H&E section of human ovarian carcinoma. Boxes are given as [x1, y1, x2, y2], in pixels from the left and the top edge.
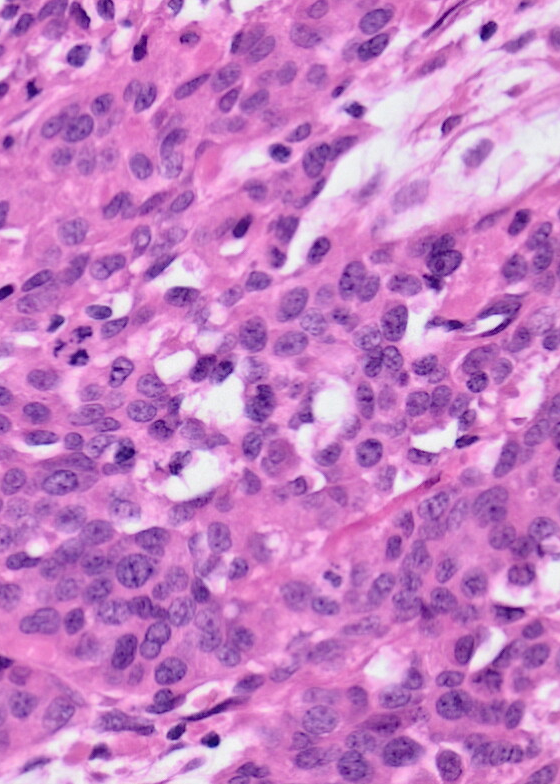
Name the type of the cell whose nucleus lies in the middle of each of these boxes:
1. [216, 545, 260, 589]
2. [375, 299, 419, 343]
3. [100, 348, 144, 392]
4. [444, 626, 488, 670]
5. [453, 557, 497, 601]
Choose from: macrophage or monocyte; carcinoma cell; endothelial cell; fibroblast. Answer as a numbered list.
1. macrophage or monocyte
2. carcinoma cell
3. macrophage or monocyte
4. carcinoma cell
5. carcinoma cell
